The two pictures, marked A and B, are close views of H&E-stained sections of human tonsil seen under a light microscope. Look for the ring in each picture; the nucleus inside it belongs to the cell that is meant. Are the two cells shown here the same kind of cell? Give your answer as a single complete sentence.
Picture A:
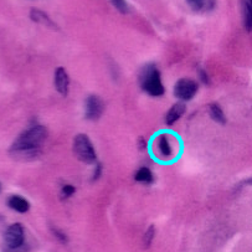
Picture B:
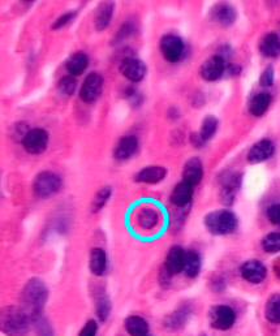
Yes, both are mast cells.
